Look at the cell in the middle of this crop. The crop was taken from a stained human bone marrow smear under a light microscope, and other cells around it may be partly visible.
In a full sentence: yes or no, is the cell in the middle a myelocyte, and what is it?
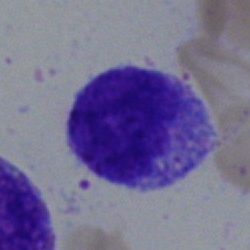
Yes, the cell in the exact middle is a myelocyte.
